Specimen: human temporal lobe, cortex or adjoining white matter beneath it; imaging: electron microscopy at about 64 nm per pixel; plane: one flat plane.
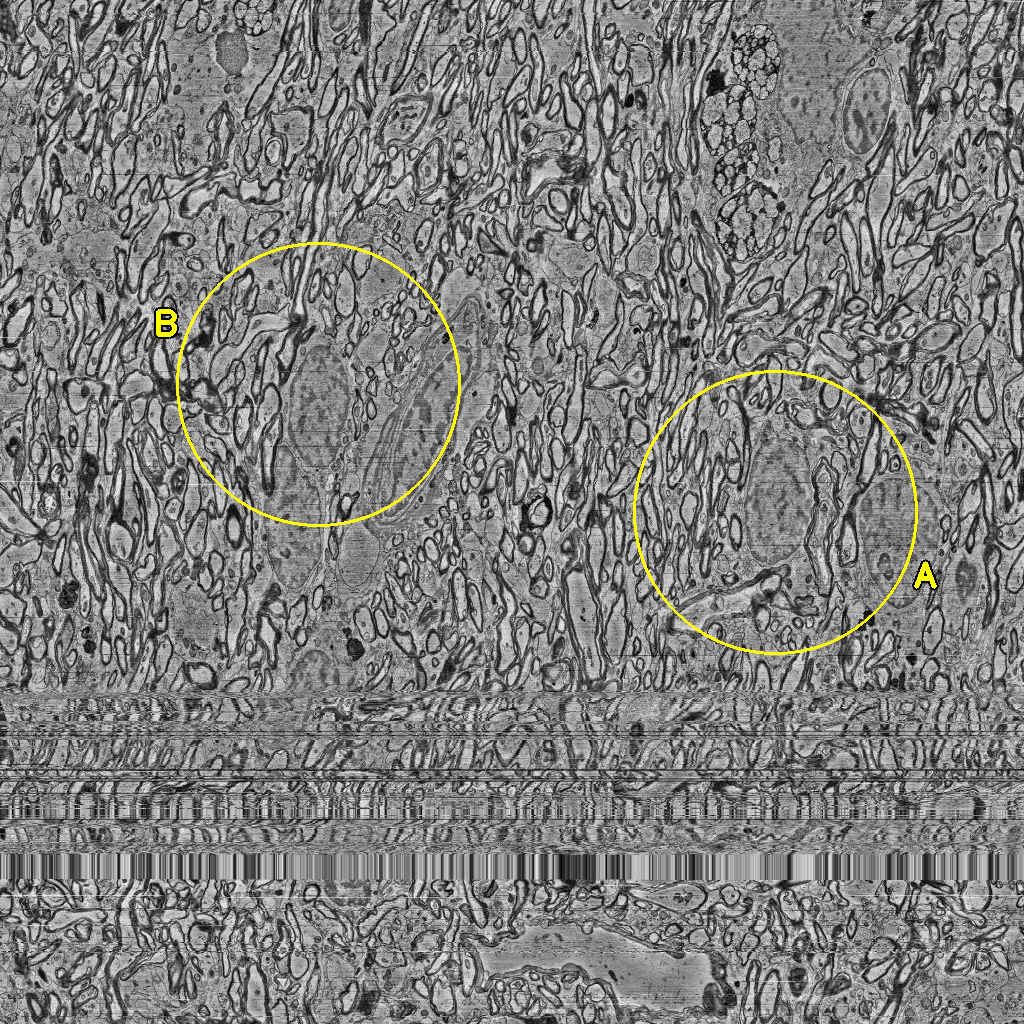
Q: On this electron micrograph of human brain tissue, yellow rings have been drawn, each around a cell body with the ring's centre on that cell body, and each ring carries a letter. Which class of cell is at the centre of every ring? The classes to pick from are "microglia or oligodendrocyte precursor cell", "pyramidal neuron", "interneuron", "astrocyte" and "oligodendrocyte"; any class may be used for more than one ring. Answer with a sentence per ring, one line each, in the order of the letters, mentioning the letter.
The centre of ring A is occupied by an oligodendrocyte.
The centre of ring B is occupied by an oligodendrocyte.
